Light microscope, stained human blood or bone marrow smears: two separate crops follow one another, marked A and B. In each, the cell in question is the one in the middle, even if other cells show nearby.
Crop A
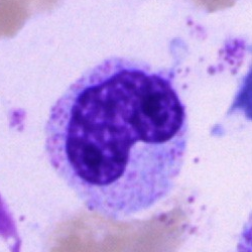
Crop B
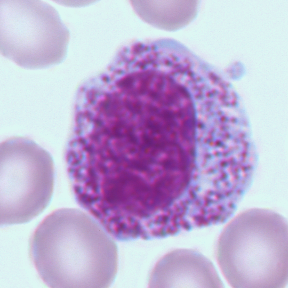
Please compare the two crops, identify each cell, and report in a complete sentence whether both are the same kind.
No, a metamyelocyte lies at the centre of crop A, and a myelocyte lies at the centre of crop B.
